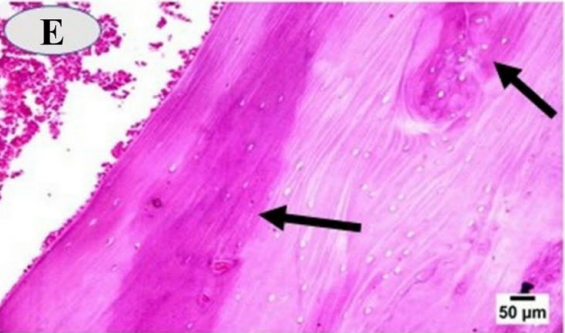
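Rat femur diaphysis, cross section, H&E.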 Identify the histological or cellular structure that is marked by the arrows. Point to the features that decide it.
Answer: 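Dark lines of bone deposition. The left arrow points at a broad deeper purple band running along the bone. The surrounding matrix is paler pink.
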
